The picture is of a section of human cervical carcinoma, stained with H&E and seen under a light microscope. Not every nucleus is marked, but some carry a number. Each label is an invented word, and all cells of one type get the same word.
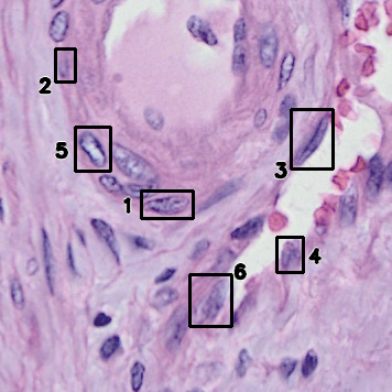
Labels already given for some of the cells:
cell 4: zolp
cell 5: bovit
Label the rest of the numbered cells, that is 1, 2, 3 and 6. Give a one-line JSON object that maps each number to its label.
{"1": "bovit", "2": "bovit", "3": "zolp", "6": "zolp"}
